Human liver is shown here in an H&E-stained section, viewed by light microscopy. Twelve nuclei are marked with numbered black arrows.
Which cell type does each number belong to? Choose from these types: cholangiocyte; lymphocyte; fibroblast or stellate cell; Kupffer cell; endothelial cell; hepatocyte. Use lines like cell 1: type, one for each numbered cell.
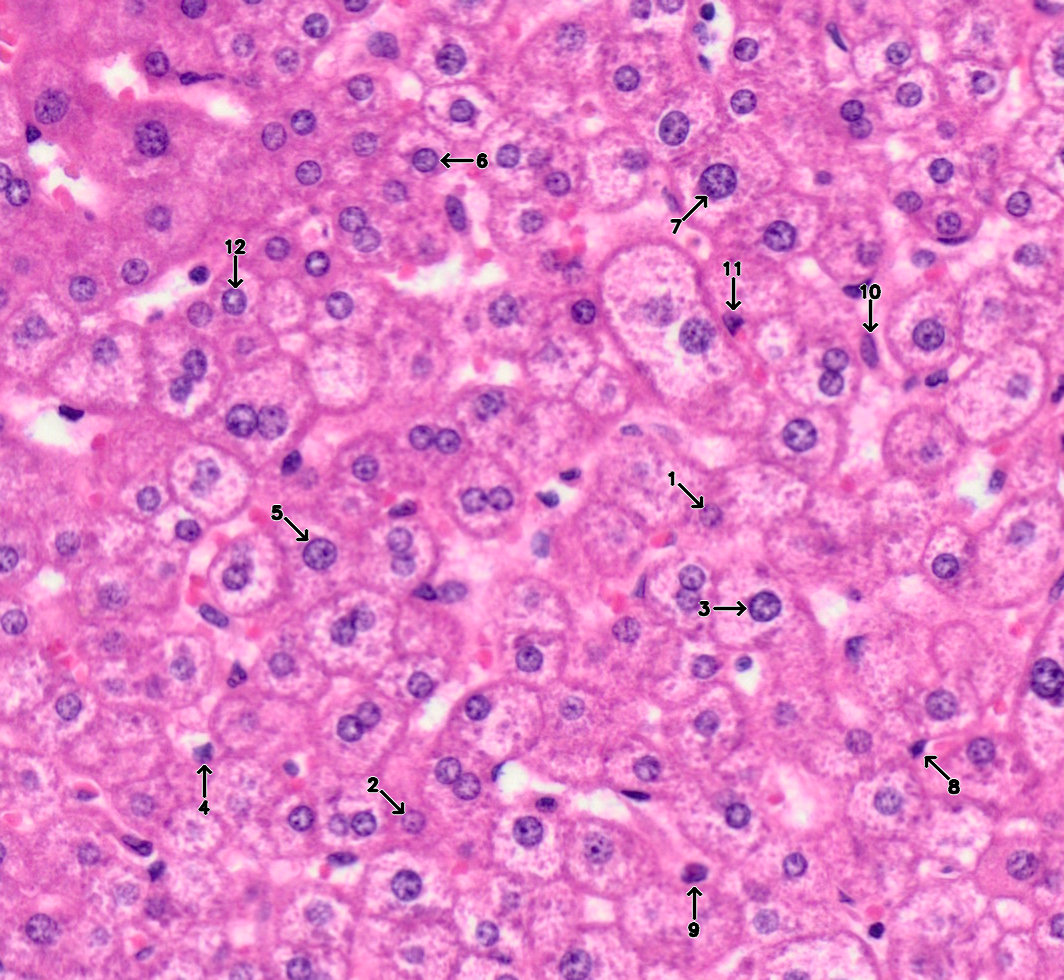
cell 1: hepatocyte
cell 2: hepatocyte
cell 3: hepatocyte
cell 4: endothelial cell
cell 5: hepatocyte
cell 6: hepatocyte
cell 7: hepatocyte
cell 8: fibroblast or stellate cell
cell 9: endothelial cell
cell 10: Kupffer cell
cell 11: endothelial cell
cell 12: hepatocyte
